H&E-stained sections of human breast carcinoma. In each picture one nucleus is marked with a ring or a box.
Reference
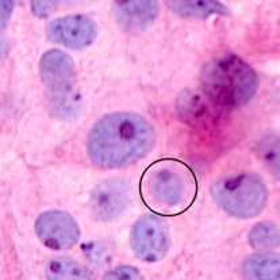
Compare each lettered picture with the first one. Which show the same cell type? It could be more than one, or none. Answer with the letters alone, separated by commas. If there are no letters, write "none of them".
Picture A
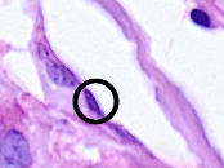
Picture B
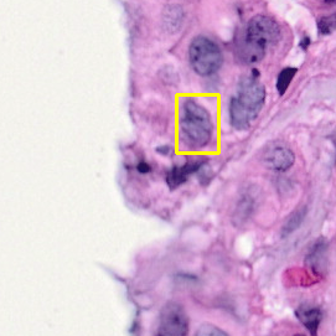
B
